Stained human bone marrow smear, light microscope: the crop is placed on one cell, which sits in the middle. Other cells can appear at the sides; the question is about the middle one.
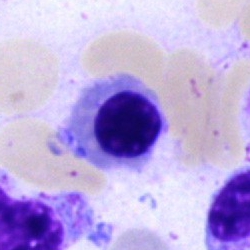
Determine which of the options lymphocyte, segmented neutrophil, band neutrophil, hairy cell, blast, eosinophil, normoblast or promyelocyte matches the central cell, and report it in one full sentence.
Framed in the middle of the crop is a normoblast.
